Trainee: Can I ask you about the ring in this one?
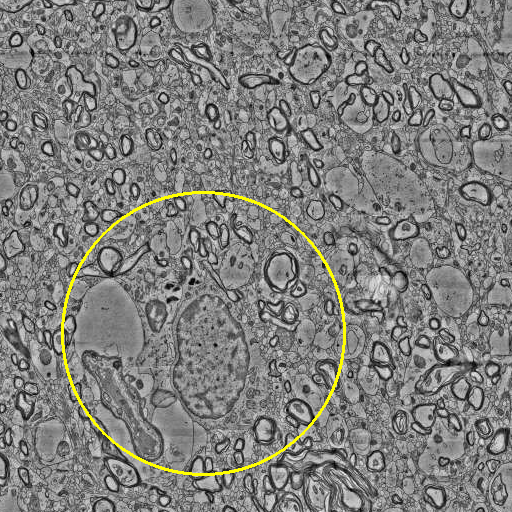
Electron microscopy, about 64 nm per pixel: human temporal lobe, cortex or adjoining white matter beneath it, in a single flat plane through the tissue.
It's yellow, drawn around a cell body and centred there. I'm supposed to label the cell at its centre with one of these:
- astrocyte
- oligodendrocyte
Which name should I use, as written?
oligodendrocyte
